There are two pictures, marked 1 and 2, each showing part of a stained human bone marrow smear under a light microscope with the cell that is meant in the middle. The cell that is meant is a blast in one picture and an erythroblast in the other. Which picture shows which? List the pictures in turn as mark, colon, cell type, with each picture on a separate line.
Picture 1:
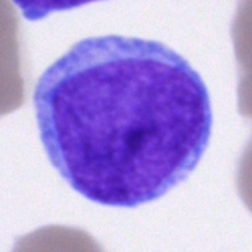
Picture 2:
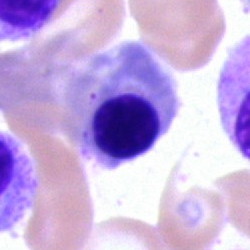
1: blast
2: erythroblast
